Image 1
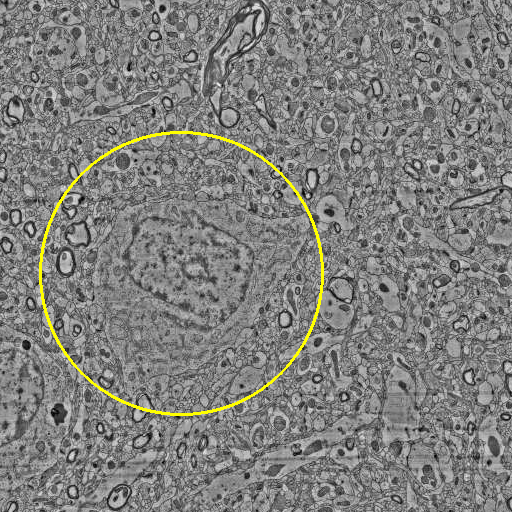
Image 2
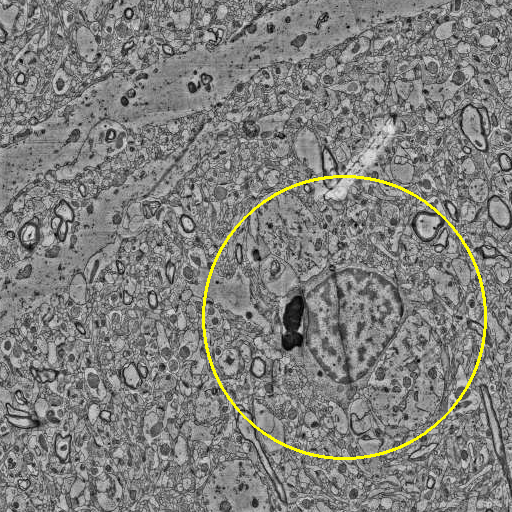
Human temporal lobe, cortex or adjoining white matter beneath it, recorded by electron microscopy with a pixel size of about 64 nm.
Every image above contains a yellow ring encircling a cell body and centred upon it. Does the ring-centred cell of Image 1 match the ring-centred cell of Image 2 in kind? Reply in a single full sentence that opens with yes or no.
Yes, the cell at the ring's centre in Image 1 is the same kind as that in Image 2.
